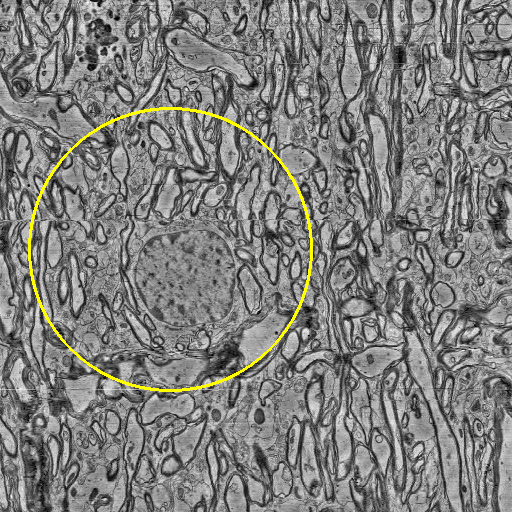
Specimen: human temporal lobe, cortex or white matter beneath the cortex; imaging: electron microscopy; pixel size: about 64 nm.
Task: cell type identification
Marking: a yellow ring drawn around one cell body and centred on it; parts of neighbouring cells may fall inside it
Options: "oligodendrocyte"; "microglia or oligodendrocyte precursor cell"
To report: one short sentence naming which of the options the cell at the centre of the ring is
The cell at the centre of the ring is a microglial cell or oligodendrocyte precursor cell.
